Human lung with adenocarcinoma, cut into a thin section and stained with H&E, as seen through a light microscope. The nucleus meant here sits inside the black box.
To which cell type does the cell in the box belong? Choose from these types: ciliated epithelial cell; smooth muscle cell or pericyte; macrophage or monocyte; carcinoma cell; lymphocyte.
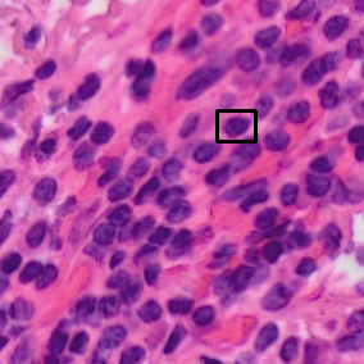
lymphocyte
